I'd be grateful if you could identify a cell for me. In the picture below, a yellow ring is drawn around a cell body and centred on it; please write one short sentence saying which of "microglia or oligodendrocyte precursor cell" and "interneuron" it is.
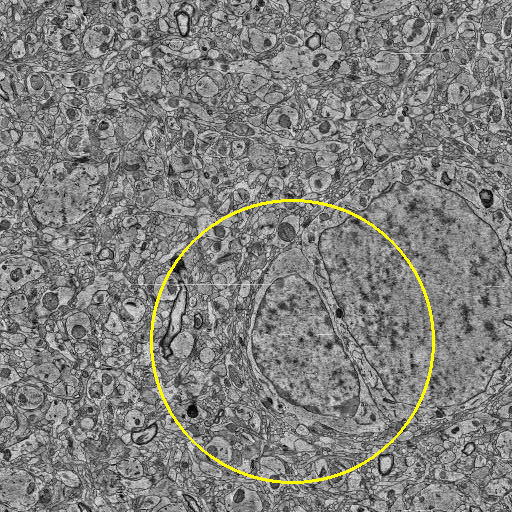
The cell under the ring's centre is a microglial cell or oligodendrocyte precursor cell.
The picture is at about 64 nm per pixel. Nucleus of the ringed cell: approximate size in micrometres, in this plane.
Roughly 9 micrometres long and 6 micrometres wide; in this plane the nucleus is clearly longer than it is wide.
